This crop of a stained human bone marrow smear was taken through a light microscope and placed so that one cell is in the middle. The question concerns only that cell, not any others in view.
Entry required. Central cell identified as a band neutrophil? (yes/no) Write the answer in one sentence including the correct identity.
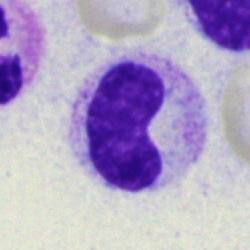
Yes, this central cell is a band neutrophil.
